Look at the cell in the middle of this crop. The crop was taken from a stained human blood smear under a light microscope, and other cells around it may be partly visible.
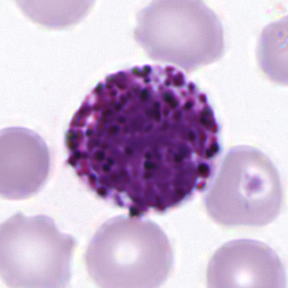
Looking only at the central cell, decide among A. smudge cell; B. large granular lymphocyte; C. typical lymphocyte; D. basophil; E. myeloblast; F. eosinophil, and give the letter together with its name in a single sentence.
Option D correctly names the cell in the middle as a basophil.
